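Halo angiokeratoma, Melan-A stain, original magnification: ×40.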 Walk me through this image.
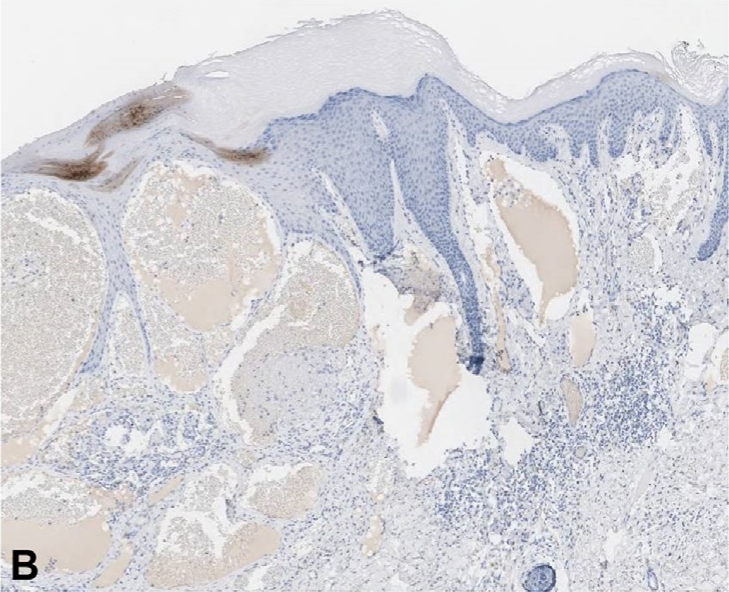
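This is a section of skin stained with a brown chromogen and a blue counterstain, showing thickened epidermis over dilated dermal capillary channels. The epidermal keratinocytes are stained blue only, and no brown-stained cells are seen along the basal layer of the epidermis. Brown material is present only in a few streaks within the surface keratin at the left. The dilated channels beneath are filled with pale tan-stained blood. Small blue cells gather in clusters in the dermis between the vessels.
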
